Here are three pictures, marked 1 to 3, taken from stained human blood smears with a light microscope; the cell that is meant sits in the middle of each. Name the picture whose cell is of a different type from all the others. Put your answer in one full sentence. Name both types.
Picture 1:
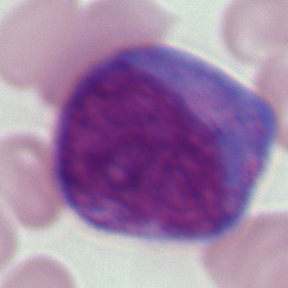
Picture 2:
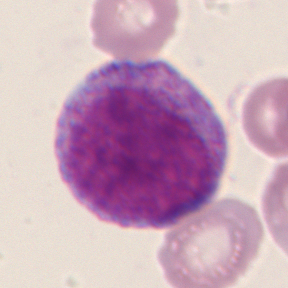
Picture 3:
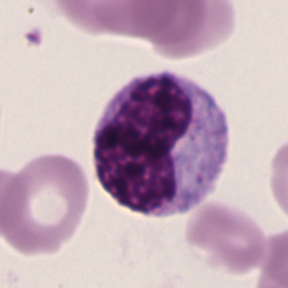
Unlike the rest, which show promyelocytes, picture 3 shows a monocyte.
